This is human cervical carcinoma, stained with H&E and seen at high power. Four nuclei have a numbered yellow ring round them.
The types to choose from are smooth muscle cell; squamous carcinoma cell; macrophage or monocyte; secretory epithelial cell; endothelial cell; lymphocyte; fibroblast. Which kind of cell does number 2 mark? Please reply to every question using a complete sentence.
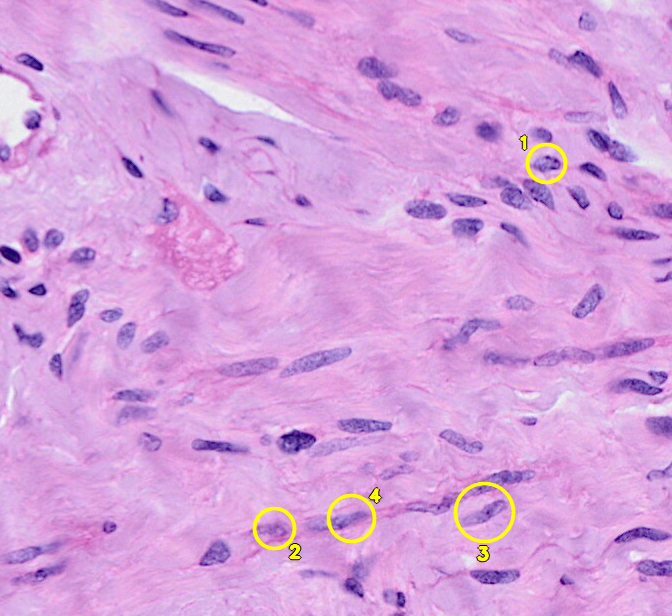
The cell referred to as 2 is a smooth muscle cell.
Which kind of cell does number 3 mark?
Cell 3, as marked in the section, is a fibroblast.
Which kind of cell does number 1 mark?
The one labeled 1 is a fibroblast, to put it simply.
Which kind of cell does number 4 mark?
The cell to which the number 4 is assigned is a smooth muscle cell.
